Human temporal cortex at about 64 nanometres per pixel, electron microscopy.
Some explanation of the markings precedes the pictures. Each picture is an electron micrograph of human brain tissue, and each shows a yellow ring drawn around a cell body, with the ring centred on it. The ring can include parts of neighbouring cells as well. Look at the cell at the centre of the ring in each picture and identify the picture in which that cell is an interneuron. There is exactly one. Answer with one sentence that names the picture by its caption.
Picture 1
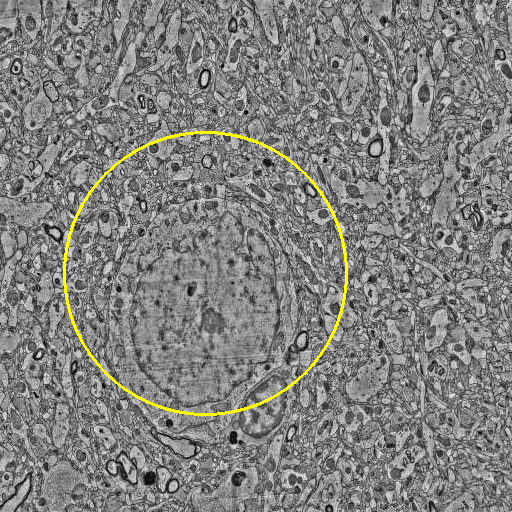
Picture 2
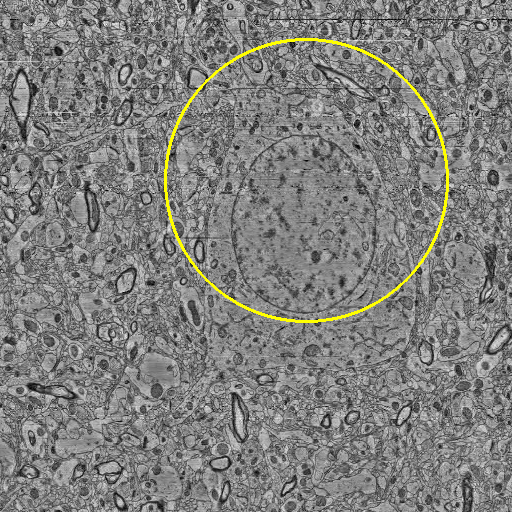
In Picture 1, the cell at the centre of the ring is of that kind.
